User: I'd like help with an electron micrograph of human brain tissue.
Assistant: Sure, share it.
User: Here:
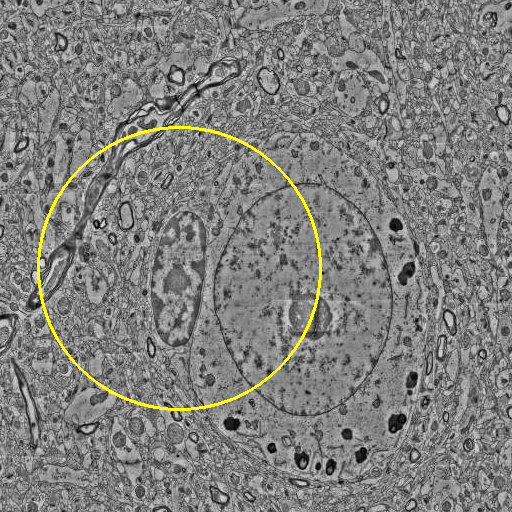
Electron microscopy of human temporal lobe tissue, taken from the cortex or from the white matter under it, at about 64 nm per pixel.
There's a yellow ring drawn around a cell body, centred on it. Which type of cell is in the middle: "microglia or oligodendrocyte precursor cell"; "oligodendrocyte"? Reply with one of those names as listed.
microglia or oligodendrocyte precursor cell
